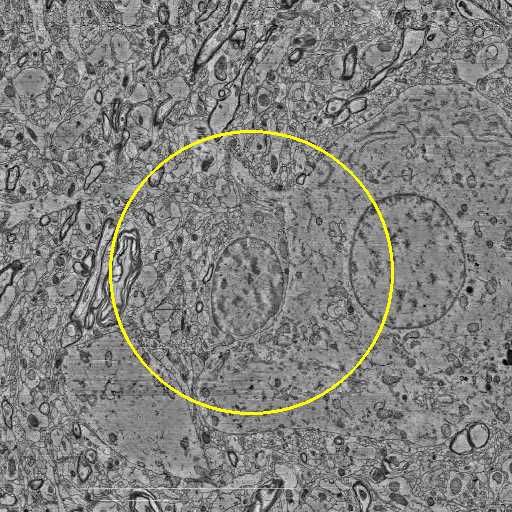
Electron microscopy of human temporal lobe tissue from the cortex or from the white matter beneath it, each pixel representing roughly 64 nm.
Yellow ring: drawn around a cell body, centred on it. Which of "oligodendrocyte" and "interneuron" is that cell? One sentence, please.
That cell body is from an oligodendrocyte.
